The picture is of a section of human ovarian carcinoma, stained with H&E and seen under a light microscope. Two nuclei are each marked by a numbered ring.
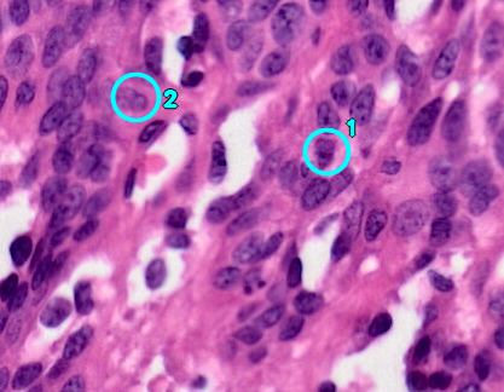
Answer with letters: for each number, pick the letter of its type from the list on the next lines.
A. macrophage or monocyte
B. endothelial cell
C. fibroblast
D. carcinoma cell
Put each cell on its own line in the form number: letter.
1: A
2: D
